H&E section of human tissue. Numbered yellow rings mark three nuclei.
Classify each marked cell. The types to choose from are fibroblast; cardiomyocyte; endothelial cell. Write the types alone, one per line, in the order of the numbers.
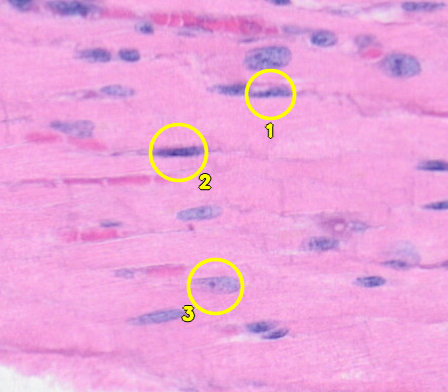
fibroblast
endothelial cell
cardiomyocyte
